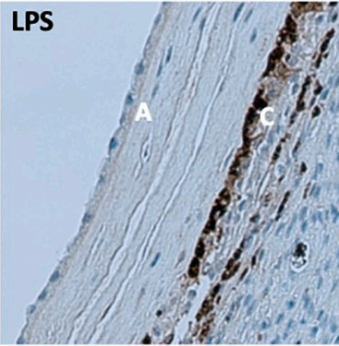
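The stained cells form an elongated, streaky band running parallel to the layers. The amnion on the left is a loose, pale layer with flattened blue nuclei and few stained cells. The decidua on the right consists of closely set cells with oval blue nuclei and only occasional brown cells.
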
